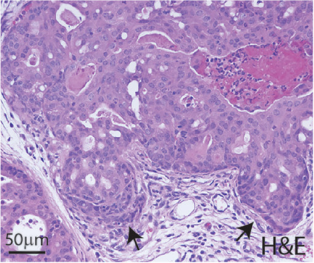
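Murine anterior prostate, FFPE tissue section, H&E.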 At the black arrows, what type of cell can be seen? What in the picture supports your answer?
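Invasive cells. The arrows point at edges of epithelial cell nests that border the surrounding stroma. At the arrowed sites the epithelial nests push into pale fibrous stroma with spindle-shaped cells.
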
